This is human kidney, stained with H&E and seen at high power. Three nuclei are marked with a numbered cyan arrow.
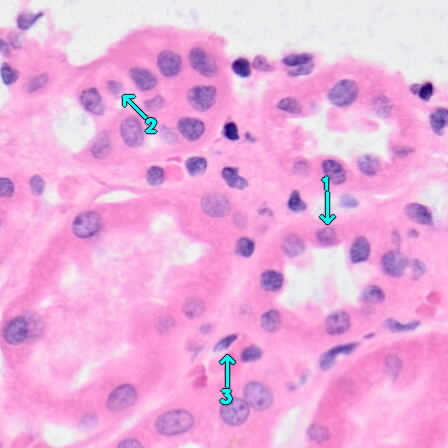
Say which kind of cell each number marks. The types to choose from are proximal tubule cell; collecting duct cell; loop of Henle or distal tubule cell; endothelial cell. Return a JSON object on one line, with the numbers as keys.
{"1": "loop of Henle or distal tubule cell", "2": "collecting duct cell", "3": "endothelial cell"}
